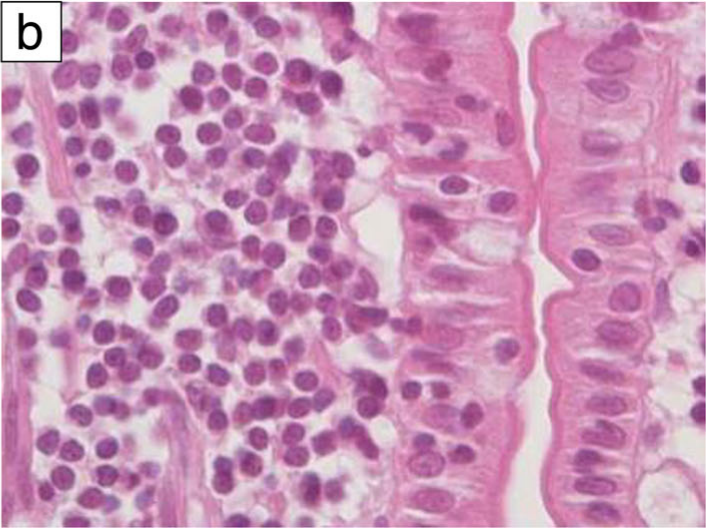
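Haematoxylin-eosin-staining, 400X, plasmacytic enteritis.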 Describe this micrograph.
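This is intestinal mucosa with an infiltrate of small round cells in the tissue beside a columnar epithelium. The cells have round, dense purple nuclei and a rim of pinkish cytoplasm, and they lie more loosely, with pale clear spaces between them. To the right, two strips of tall pink columnar epithelium with oval nuclei run down the field, one with a pale goblet cell near its base.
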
